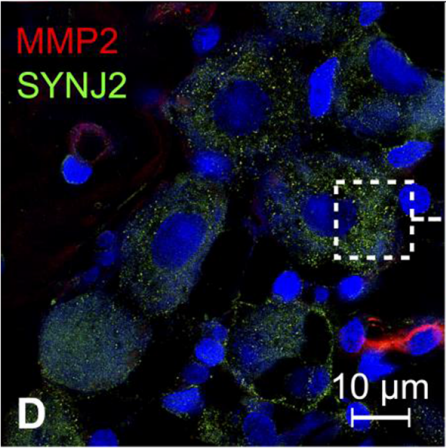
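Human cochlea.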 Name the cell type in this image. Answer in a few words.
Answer: Spiral ganglion neurons.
